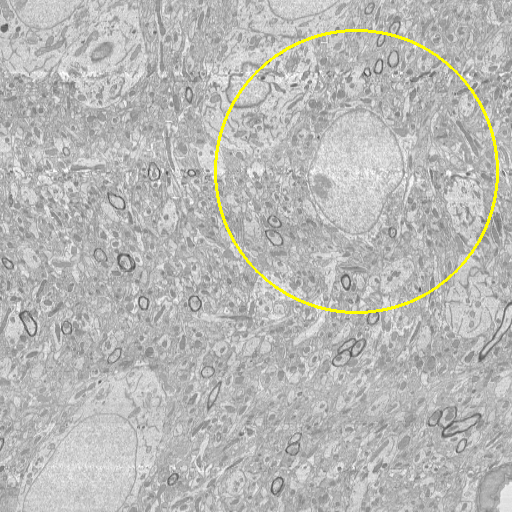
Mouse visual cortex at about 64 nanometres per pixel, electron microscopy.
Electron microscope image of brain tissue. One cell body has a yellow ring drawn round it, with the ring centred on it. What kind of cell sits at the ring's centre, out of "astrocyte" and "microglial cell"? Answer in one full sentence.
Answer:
It is an astrocyte whose cell body sits at the centre of the yellow ring.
